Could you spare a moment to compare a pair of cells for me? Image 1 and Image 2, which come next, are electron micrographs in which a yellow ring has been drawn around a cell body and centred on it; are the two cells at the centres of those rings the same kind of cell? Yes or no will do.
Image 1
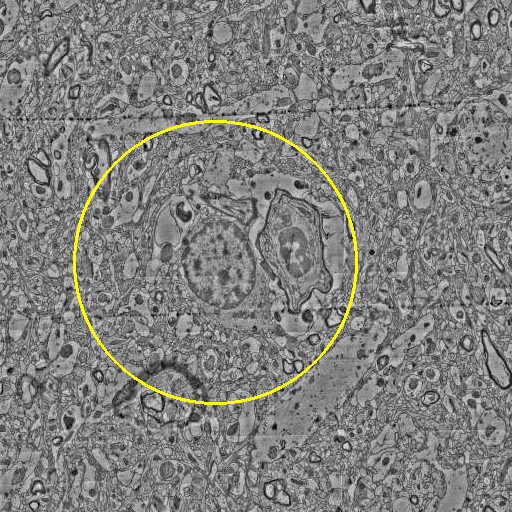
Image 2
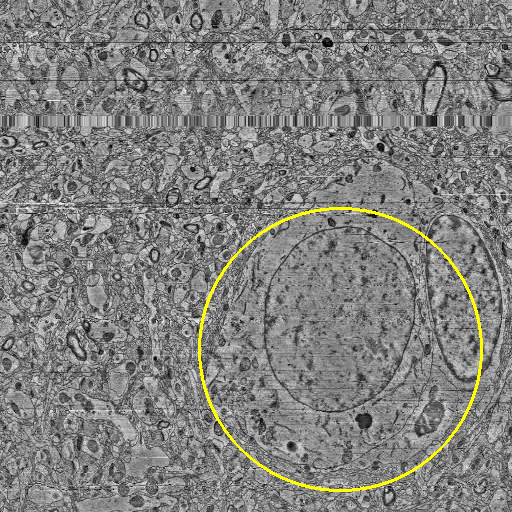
no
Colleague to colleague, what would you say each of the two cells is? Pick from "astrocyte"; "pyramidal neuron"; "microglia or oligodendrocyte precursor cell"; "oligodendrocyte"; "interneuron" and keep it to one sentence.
The cell in the first picture is an oligodendrocyte; the second picture's cell is a pyramidal neuron.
